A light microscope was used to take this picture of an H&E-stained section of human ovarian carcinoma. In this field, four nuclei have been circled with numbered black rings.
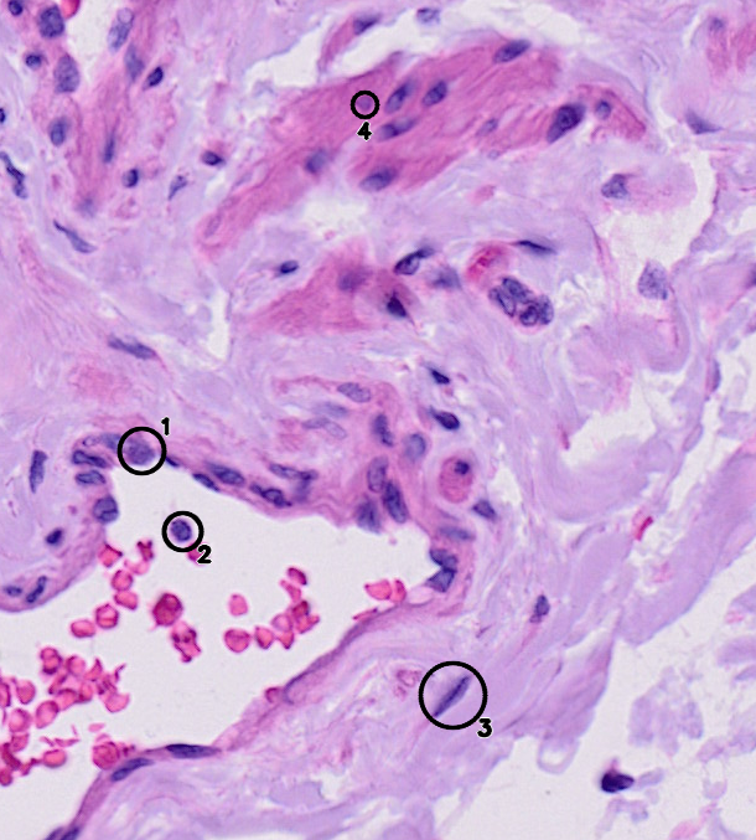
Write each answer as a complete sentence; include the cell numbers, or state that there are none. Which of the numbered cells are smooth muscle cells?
Among the numbered cells, a smooth muscle cell occurs only once, as cell 4.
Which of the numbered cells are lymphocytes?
Only the cell with the number 2 is a lymphocyte.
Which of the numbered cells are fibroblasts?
In contrast to the remaining marked cells, cell 3 is a fibroblast.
